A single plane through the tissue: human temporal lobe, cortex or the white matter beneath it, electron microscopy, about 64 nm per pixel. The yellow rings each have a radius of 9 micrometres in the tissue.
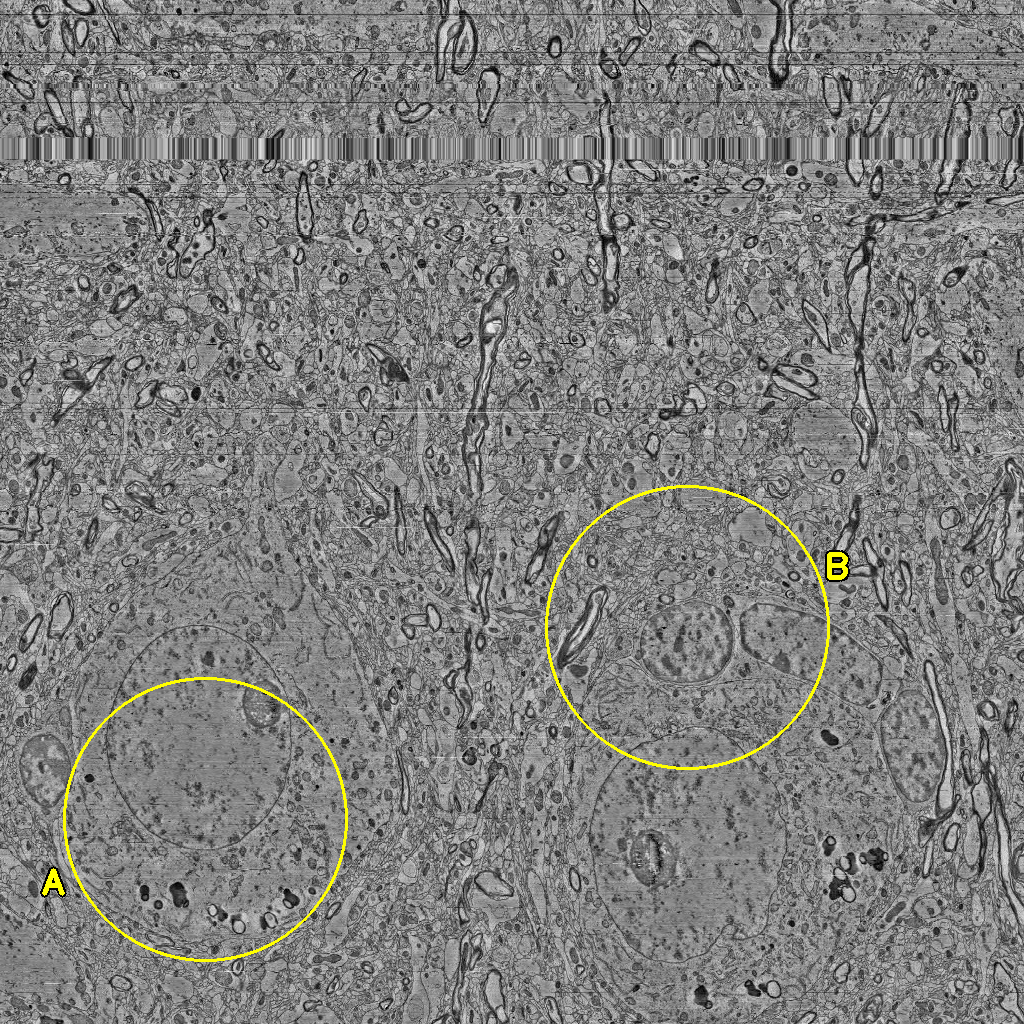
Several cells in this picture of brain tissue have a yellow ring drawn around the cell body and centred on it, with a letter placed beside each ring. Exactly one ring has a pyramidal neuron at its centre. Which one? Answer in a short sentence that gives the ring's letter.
Ring A is centred on it.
